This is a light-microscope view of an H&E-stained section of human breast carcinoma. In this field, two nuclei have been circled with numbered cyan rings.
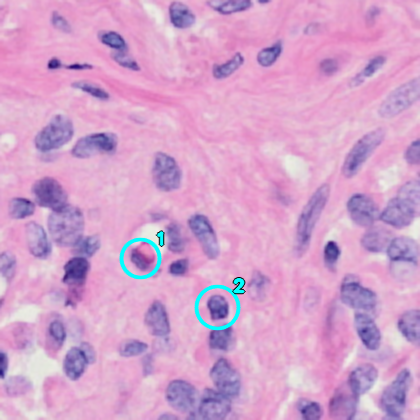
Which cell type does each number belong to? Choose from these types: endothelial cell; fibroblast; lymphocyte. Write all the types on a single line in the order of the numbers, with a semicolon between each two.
endothelial cell; lymphocyte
